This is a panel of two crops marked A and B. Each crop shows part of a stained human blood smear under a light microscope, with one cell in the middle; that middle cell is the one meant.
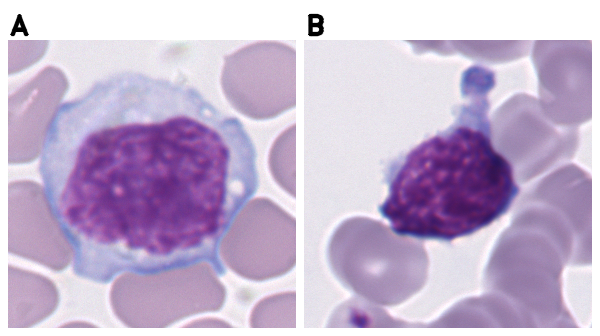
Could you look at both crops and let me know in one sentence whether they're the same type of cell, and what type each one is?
No, what crop A shows is a myeloblast, and what crop B shows is a typical lymphocyte.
